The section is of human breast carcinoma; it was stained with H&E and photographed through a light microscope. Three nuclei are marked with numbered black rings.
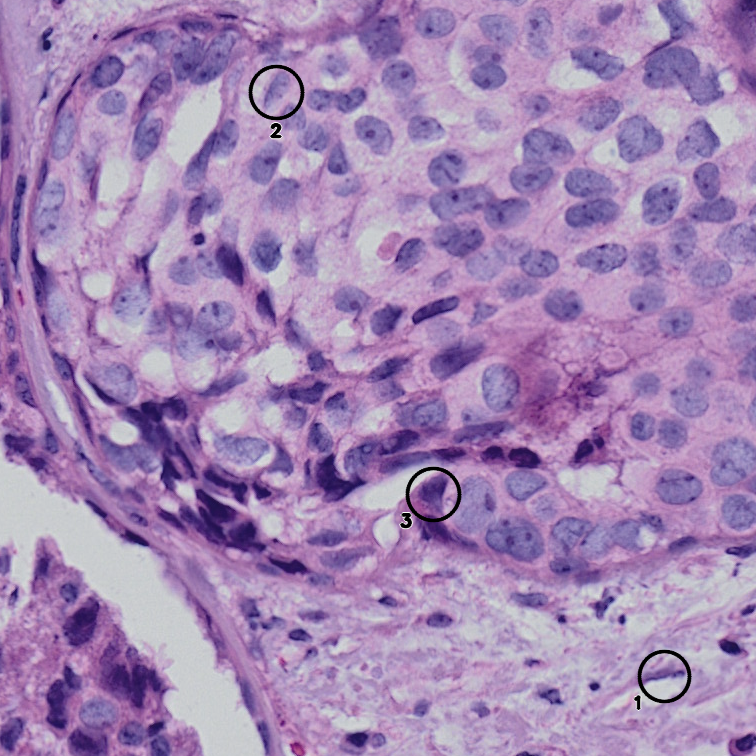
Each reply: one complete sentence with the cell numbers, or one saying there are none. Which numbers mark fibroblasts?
As for the numbered cells, only cell 1 is a fibroblast.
